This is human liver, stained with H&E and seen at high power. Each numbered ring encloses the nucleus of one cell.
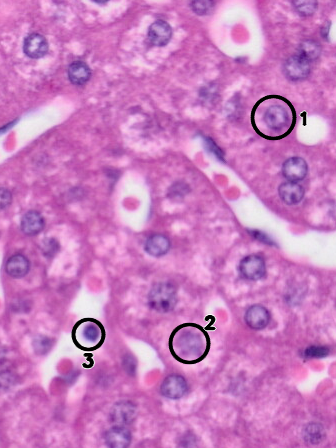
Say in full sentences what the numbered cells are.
Cell 1 is a hepatocyte, cell 2 is a hepatocyte and cell 3 is a lymphocyte.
